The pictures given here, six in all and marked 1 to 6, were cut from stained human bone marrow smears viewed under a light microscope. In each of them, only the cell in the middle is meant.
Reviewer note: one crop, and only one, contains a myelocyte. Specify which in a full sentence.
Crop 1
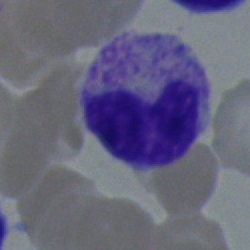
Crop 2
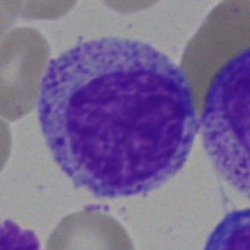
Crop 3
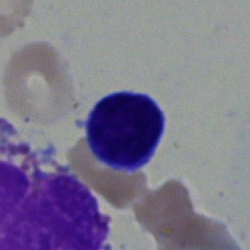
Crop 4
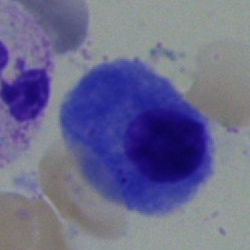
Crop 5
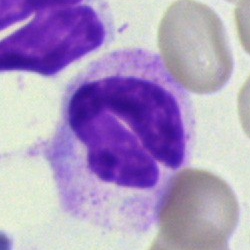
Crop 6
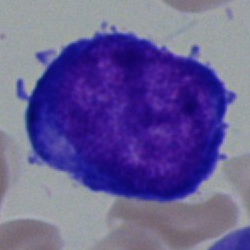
The cell at the center of crop 2 is the one that is a myelocyte.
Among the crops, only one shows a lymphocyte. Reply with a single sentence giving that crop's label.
Crop 3, and no other, is the one that shows a lymphocyte.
